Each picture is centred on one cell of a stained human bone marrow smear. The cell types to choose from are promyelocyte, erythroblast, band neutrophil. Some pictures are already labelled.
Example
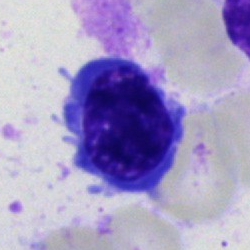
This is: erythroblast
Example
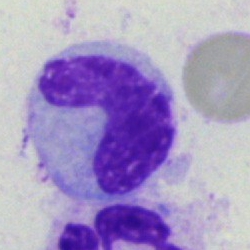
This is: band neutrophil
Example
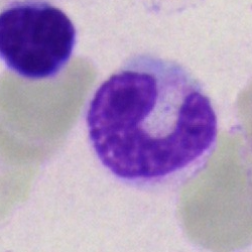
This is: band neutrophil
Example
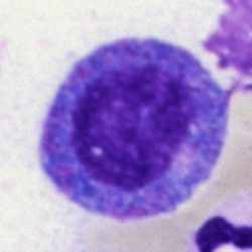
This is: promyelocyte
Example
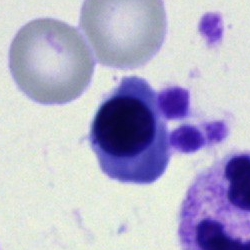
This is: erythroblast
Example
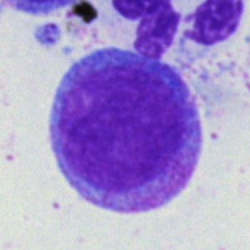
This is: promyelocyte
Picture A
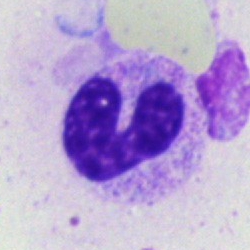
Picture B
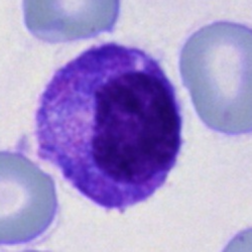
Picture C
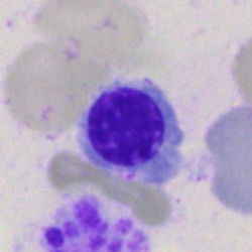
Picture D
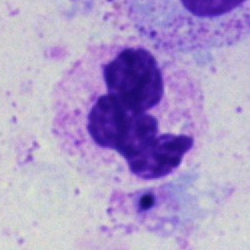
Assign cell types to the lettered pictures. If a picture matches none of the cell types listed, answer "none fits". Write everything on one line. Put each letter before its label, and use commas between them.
A band neutrophil, B promyelocyte, C erythroblast, D none fits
